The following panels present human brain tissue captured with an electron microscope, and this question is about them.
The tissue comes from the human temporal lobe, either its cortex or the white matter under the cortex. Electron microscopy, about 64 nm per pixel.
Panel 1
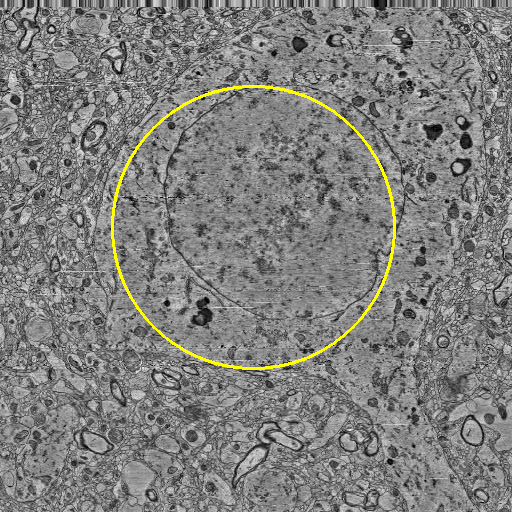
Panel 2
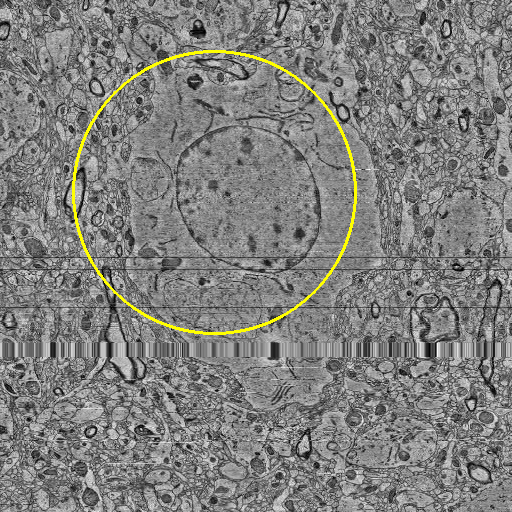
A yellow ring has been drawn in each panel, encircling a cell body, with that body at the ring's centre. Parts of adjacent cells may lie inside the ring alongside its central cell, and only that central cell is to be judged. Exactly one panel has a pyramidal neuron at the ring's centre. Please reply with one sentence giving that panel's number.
The ring whose central cell fits the description is the one in panel 1.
